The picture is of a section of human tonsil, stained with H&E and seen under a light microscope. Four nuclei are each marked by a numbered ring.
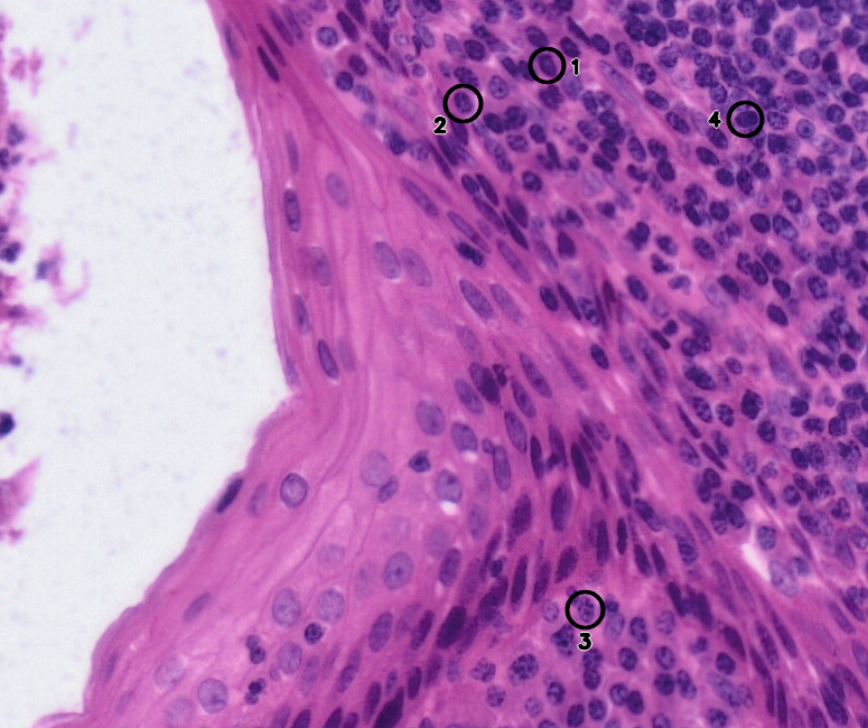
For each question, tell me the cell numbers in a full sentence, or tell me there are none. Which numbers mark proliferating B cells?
Whichever numbered cell is considered, it is not one of the proliferating B cells.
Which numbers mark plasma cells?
The cells marked 1, 2 and 3 in the section are plasma cells.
